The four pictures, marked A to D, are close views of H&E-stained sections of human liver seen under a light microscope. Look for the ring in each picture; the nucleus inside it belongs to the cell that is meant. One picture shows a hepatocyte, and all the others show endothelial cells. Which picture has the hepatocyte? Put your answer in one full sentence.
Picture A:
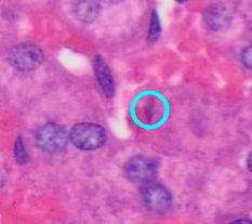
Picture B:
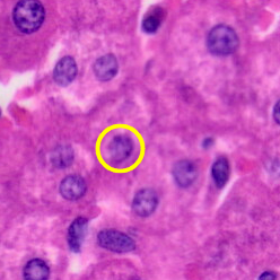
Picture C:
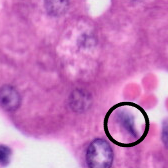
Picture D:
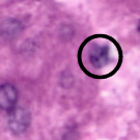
The picture with the hepatocyte is B.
